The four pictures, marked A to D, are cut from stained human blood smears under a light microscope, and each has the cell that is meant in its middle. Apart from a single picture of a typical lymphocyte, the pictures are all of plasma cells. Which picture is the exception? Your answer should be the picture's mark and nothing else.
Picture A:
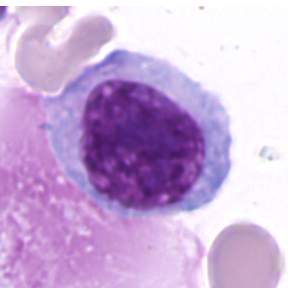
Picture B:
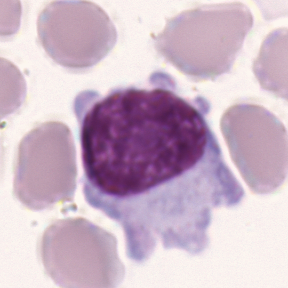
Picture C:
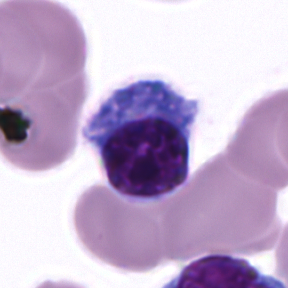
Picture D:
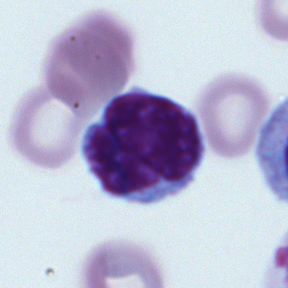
D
